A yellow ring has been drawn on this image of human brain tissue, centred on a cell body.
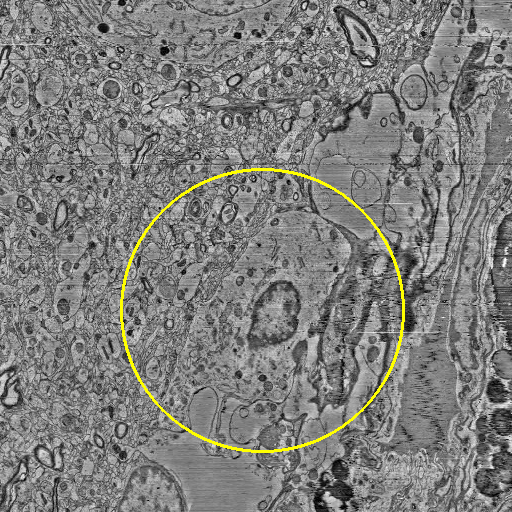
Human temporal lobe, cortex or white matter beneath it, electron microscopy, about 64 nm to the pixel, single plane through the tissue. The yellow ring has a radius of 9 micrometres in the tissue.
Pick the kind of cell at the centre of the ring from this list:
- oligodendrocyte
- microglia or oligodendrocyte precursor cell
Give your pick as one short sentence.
The centre of the ring holds a microglial cell or oligodendrocyte precursor cell.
